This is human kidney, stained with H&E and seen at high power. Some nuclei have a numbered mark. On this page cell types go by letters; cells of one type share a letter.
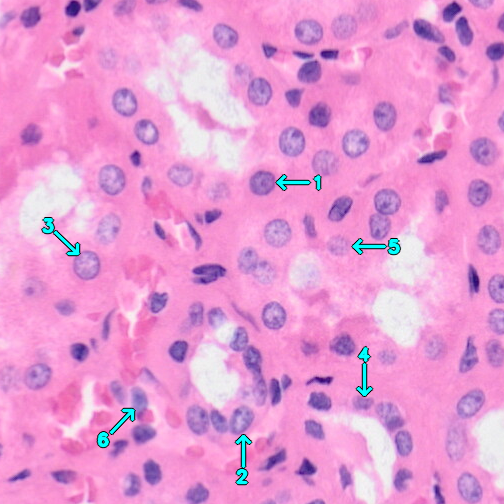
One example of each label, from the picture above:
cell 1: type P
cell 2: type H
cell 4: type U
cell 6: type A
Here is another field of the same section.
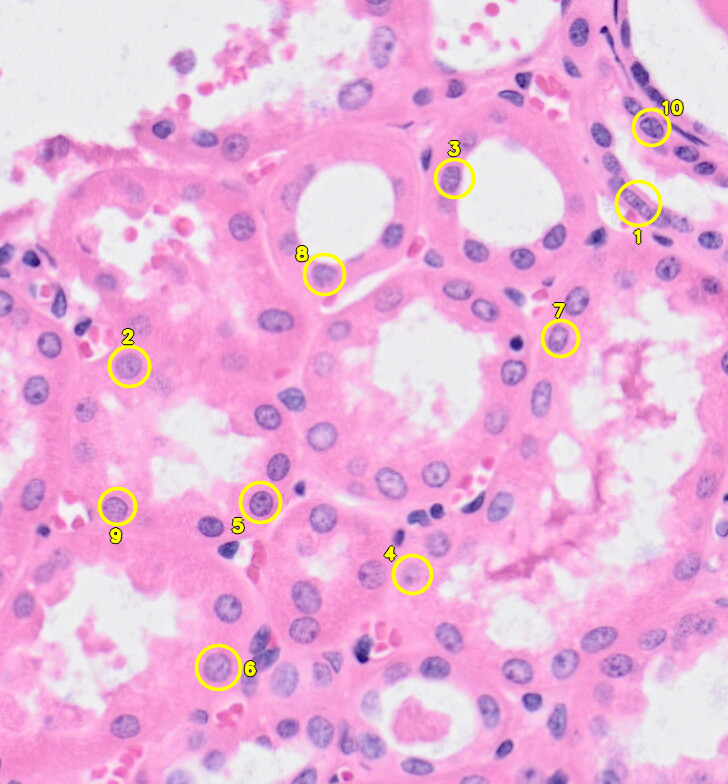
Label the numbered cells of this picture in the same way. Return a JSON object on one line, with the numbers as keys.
{"1": "type H", "2": "type P", "3": "type U", "4": "type P", "5": "type P", "6": "type P", "7": "type P", "8": "type U", "9": "type P", "10": "type H"}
